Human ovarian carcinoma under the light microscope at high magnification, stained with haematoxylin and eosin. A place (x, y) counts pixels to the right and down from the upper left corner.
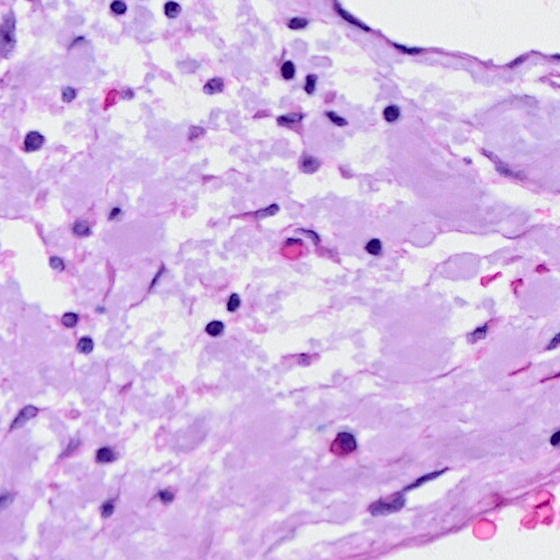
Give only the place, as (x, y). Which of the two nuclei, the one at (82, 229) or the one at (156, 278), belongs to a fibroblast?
(156, 278)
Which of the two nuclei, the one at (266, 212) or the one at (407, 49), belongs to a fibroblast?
(266, 212)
